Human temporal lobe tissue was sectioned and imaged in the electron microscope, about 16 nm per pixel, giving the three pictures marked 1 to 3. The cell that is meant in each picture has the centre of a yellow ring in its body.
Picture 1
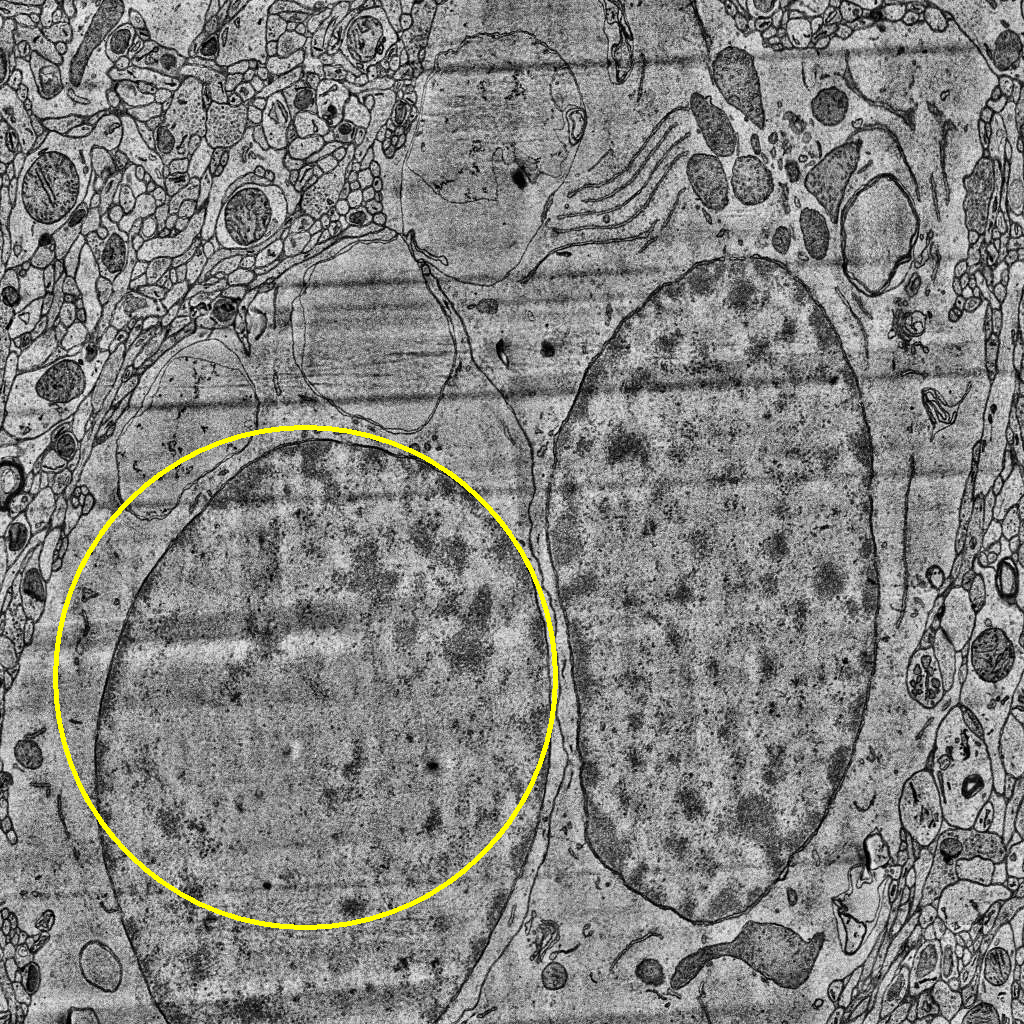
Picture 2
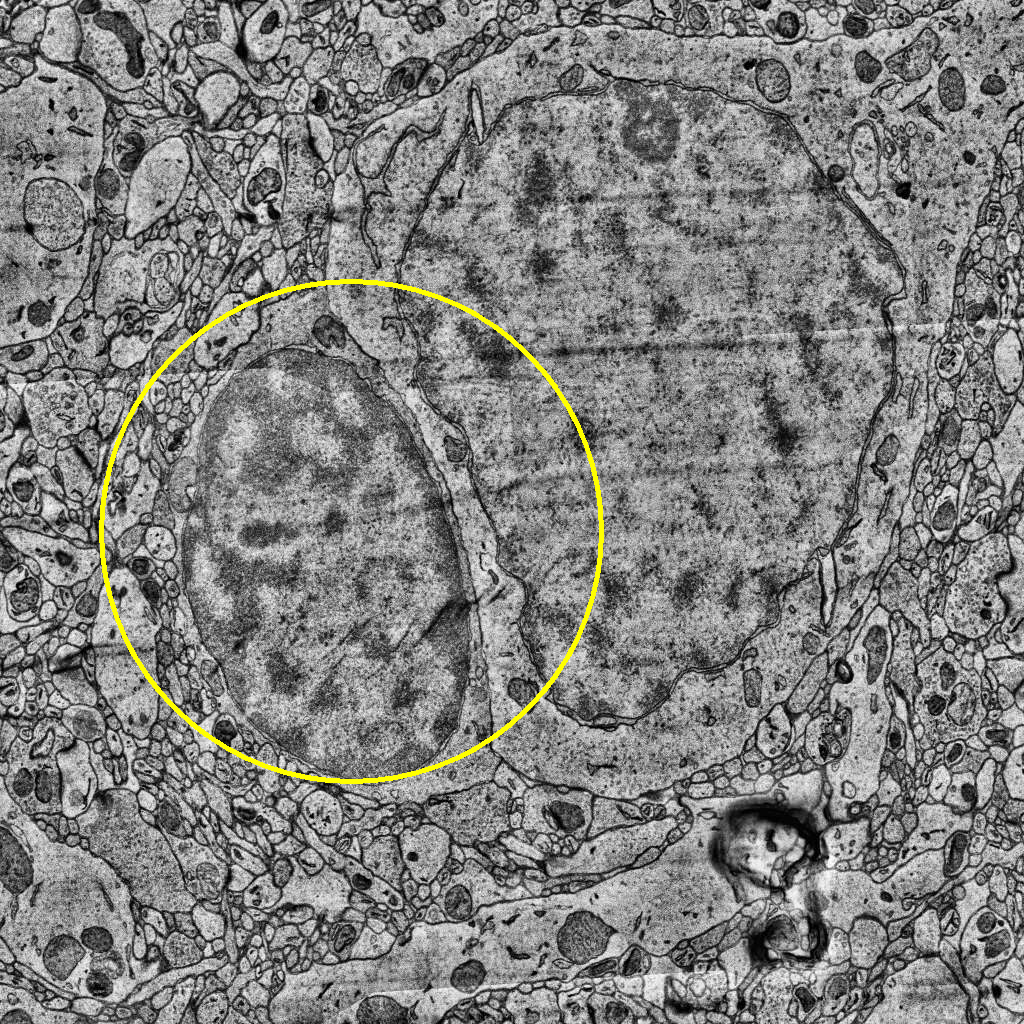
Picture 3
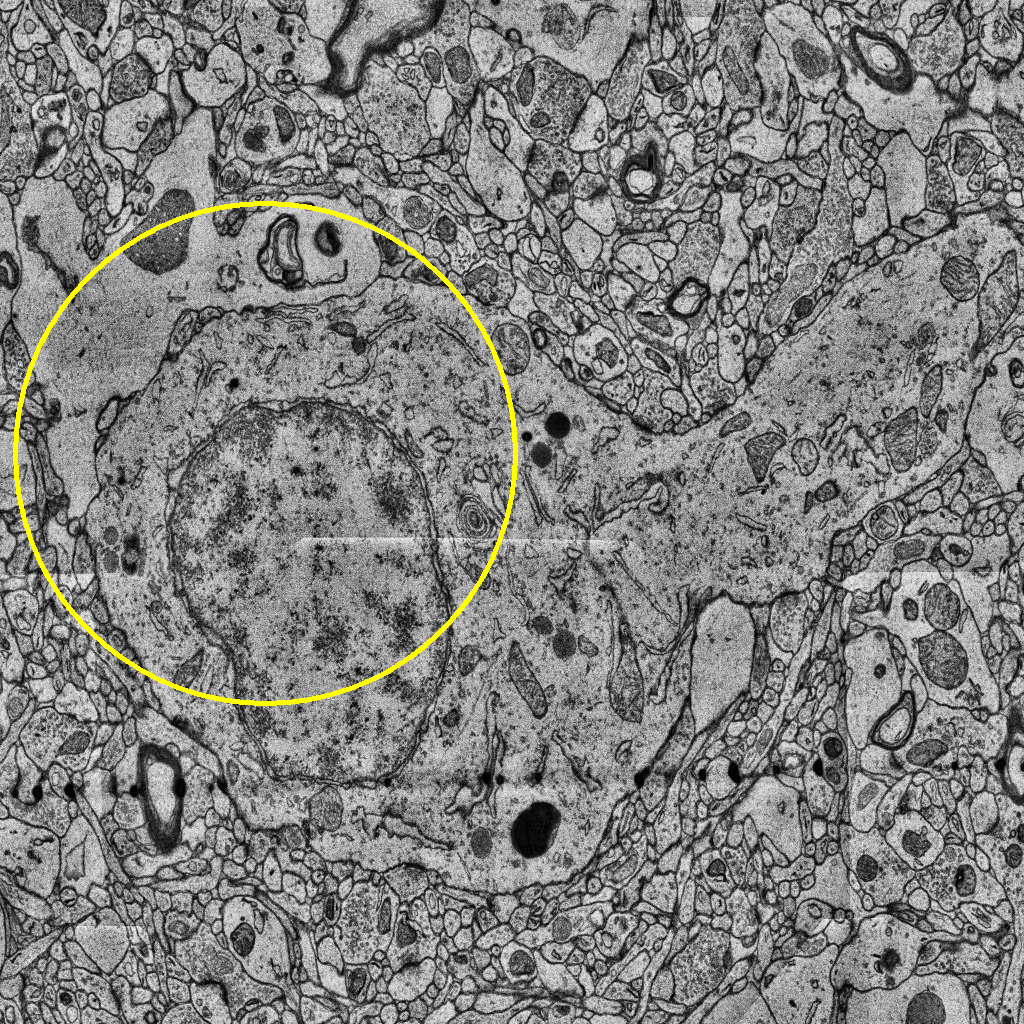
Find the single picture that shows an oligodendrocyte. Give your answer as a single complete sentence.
Picture 2 shows the oligodendrocyte.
